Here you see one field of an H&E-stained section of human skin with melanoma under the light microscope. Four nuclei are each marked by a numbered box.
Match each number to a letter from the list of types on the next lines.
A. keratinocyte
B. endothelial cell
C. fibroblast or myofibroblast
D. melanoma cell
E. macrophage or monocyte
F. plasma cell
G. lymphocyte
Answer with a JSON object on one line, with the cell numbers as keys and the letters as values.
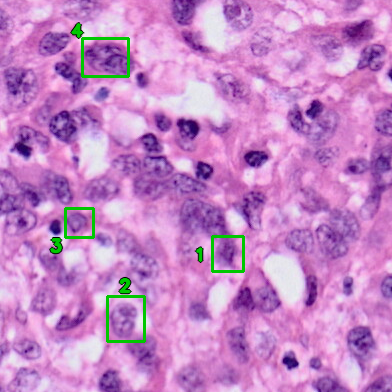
{"1": "D", "2": "D", "3": "E", "4": "D"}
